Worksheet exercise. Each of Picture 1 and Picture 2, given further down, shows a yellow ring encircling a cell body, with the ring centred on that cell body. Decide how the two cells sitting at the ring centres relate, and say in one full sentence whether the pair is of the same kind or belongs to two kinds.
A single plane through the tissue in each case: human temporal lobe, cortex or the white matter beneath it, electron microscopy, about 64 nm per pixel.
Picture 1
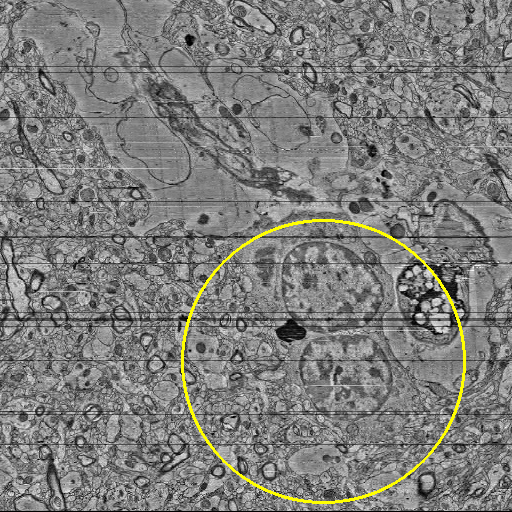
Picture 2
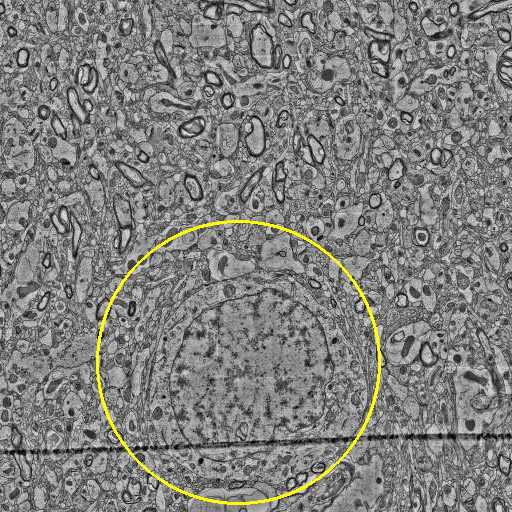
The cells at the ring centres in Picture 1 and Picture 2 belong to two kinds.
